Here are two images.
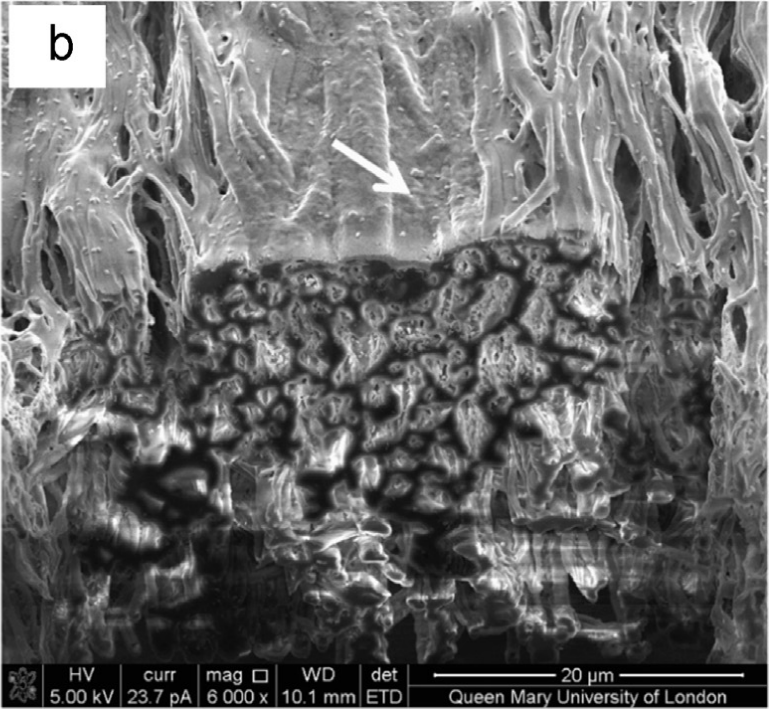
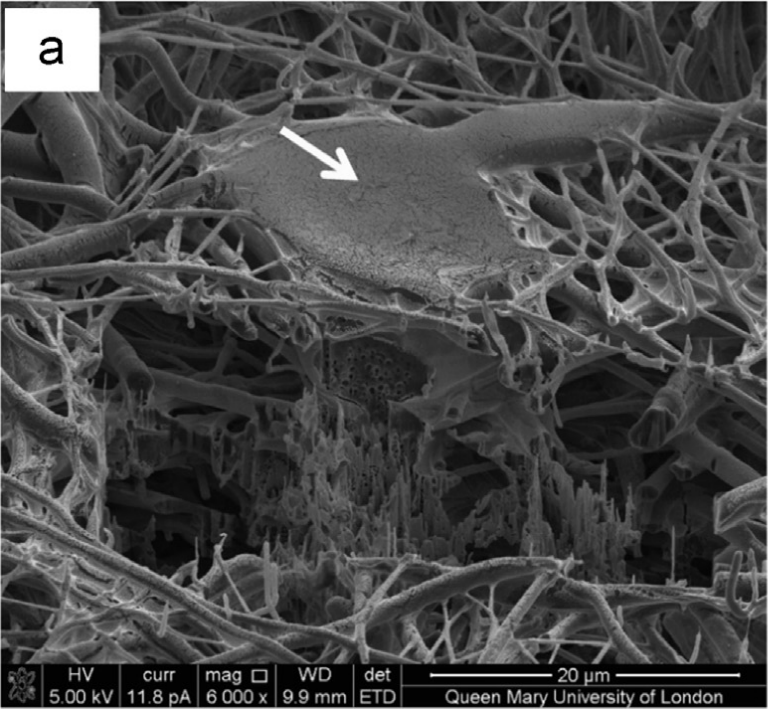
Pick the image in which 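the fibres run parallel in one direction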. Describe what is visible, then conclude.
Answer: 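The first image. Second image: fibres cross one another in all directions, forming a tangled mesh. First image: fibres in the upper part run side by side in one direction.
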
